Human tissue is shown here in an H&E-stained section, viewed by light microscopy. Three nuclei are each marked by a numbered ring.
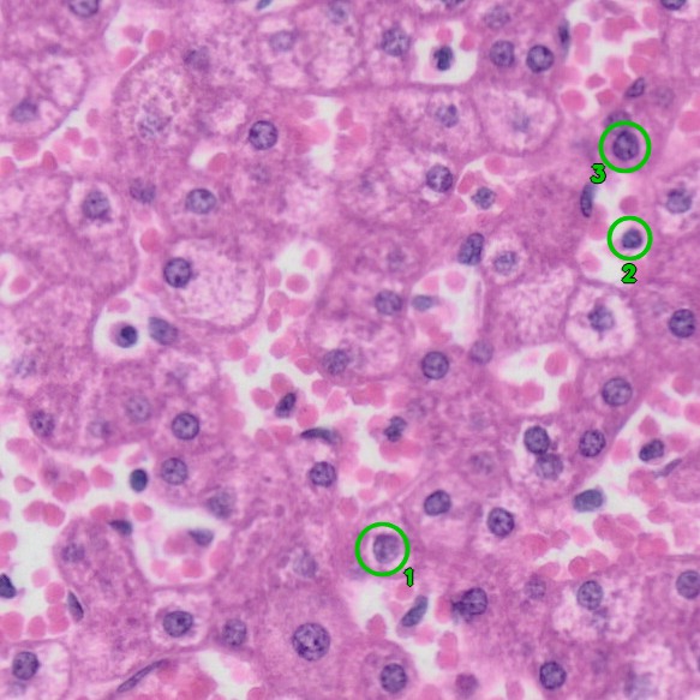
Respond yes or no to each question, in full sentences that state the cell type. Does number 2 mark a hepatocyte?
No, cell 2 is not a hepatocyte: it is a lymphocyte.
